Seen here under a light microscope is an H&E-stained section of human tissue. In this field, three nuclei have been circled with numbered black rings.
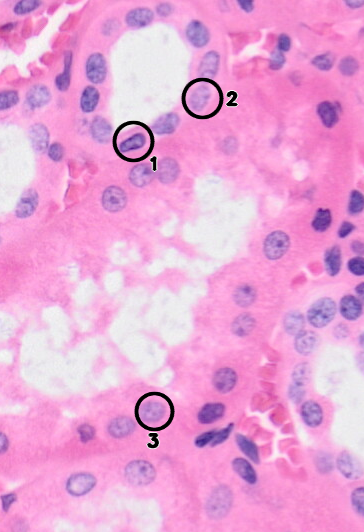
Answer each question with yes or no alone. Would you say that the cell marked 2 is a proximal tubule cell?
no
